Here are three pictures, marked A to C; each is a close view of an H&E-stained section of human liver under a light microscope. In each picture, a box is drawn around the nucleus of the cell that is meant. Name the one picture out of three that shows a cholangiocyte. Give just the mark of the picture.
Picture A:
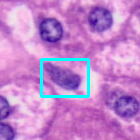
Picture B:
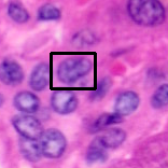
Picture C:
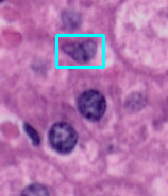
B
